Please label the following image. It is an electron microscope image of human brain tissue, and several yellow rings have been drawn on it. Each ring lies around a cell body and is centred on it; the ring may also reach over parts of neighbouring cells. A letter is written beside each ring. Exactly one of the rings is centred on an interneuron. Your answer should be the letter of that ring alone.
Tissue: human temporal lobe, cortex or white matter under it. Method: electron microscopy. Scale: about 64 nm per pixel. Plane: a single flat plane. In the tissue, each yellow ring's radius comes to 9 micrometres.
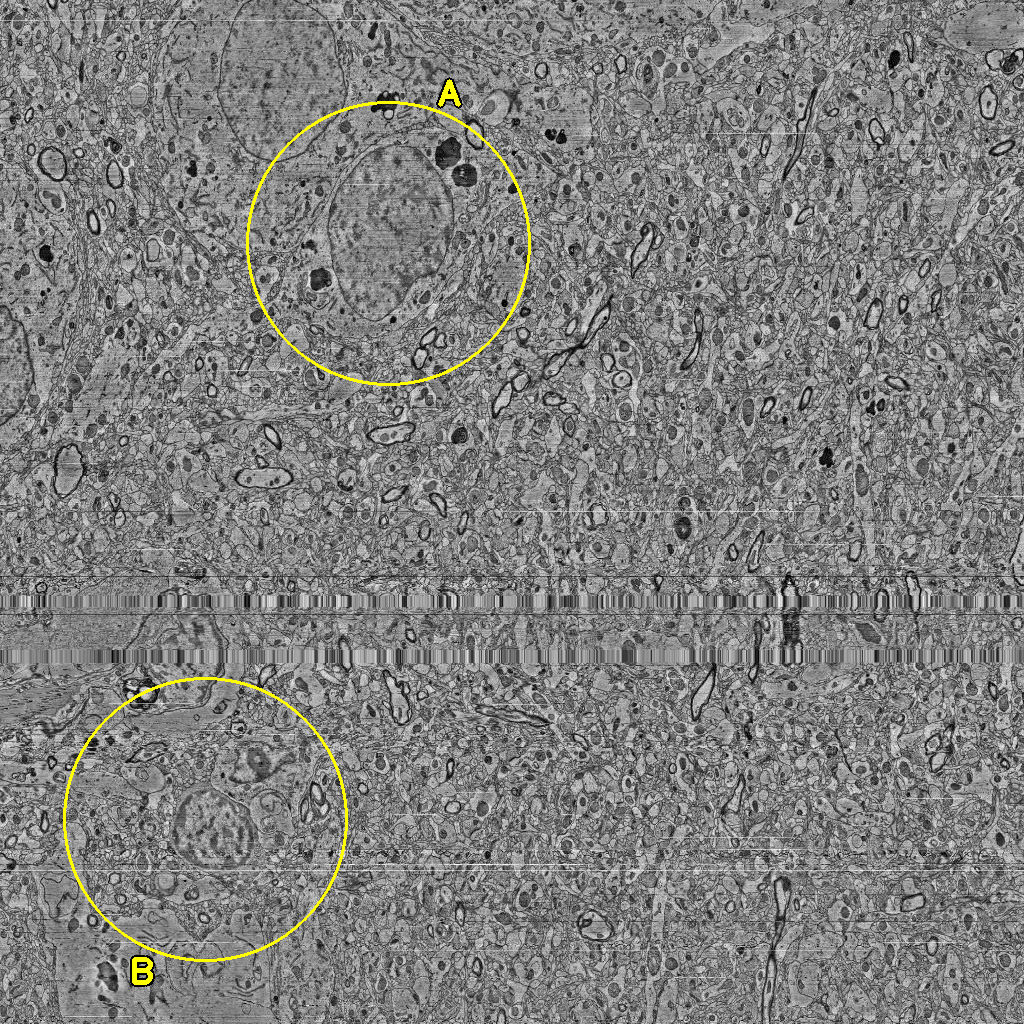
A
